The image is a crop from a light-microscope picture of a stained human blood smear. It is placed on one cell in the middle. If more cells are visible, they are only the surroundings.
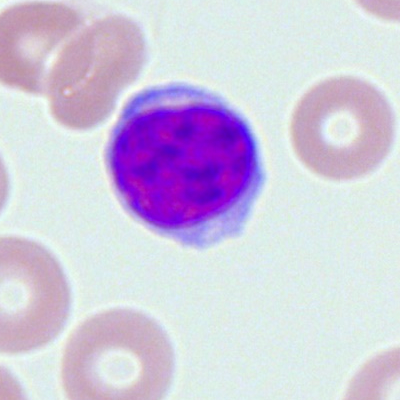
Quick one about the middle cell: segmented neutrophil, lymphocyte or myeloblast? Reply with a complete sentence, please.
Standing at the centre of this crop is a lymphocyte.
